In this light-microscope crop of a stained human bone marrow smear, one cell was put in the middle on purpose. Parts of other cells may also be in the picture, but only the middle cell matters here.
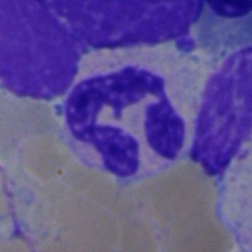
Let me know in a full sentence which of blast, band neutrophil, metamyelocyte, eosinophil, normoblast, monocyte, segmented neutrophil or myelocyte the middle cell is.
The centrally located cell in the crop is a segmented neutrophil.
